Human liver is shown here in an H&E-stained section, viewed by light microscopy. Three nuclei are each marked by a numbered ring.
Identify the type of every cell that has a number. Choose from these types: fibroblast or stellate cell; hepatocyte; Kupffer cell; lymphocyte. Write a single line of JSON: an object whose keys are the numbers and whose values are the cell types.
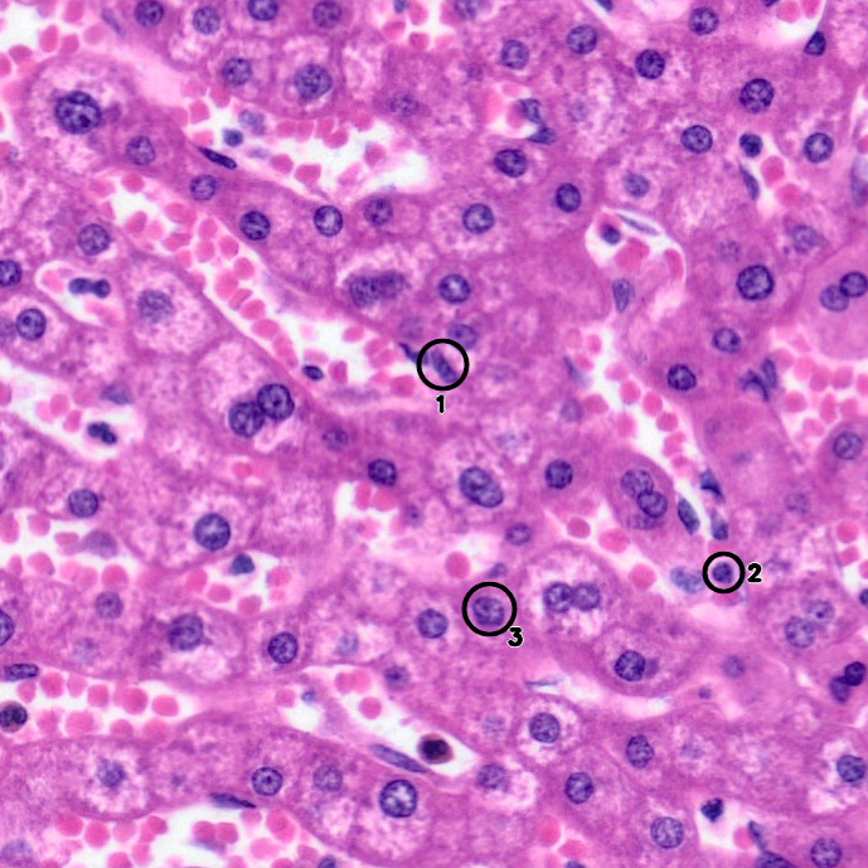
{"1": "fibroblast or stellate cell", "2": "lymphocyte", "3": "hepatocyte"}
